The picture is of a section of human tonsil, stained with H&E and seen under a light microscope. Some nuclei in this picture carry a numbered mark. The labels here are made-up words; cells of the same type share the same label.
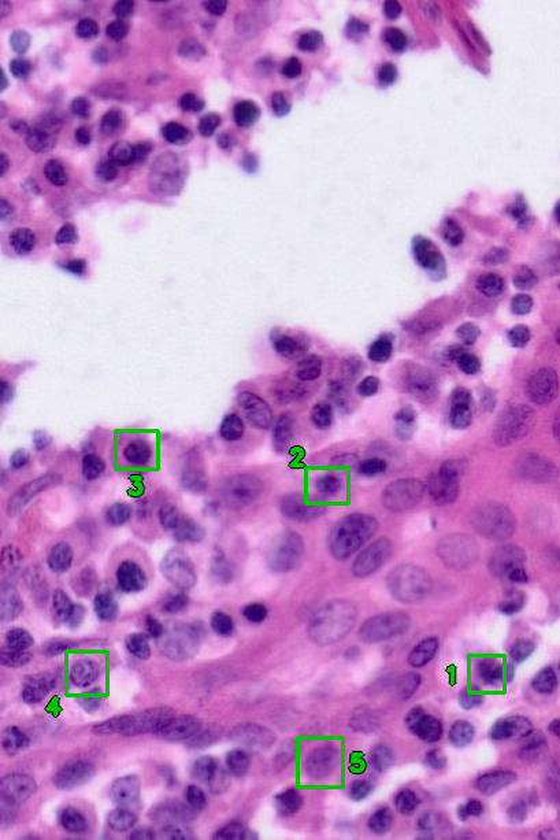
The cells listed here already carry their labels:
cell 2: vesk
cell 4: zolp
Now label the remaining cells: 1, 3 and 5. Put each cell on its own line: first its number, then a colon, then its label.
1: zolp
3: zolp
5: vesk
